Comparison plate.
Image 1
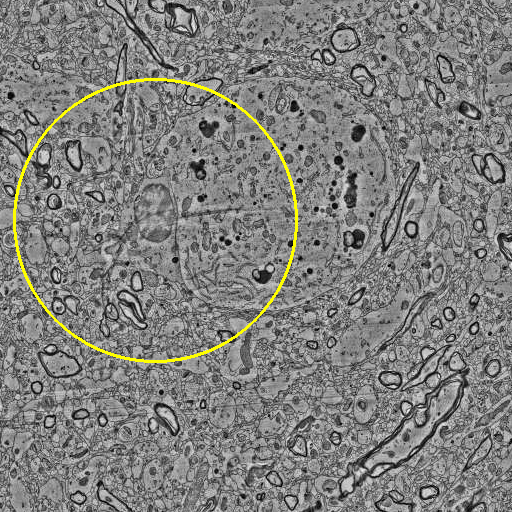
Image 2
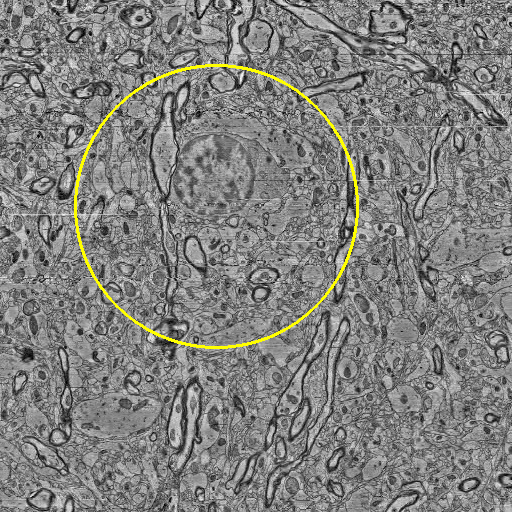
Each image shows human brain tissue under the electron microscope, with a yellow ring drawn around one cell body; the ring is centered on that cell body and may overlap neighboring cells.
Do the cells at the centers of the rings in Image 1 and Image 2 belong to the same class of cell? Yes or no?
yes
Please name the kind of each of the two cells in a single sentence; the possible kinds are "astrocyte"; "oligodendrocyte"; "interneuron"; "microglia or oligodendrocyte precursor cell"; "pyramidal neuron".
In each of the two pictures, the ringed cell is an oligodendrocyte.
